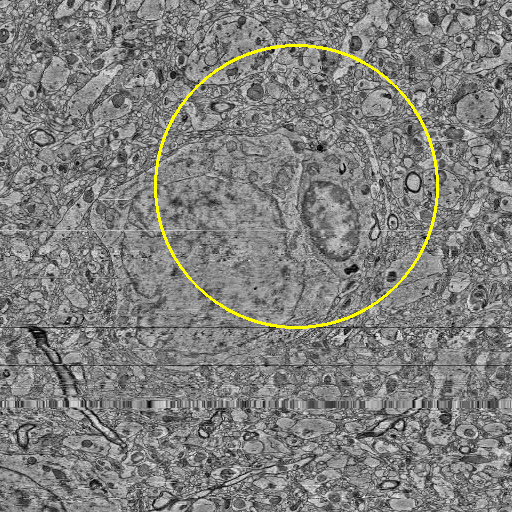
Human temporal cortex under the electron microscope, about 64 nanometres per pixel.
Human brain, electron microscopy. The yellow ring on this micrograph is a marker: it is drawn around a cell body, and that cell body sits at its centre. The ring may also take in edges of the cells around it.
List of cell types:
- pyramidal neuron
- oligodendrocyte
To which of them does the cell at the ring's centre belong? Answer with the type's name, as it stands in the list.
oligodendrocyte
